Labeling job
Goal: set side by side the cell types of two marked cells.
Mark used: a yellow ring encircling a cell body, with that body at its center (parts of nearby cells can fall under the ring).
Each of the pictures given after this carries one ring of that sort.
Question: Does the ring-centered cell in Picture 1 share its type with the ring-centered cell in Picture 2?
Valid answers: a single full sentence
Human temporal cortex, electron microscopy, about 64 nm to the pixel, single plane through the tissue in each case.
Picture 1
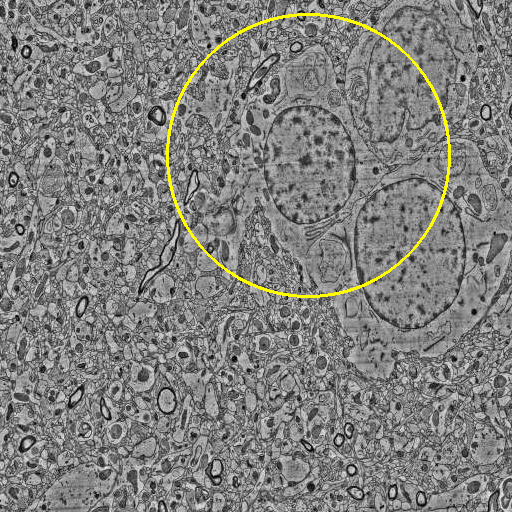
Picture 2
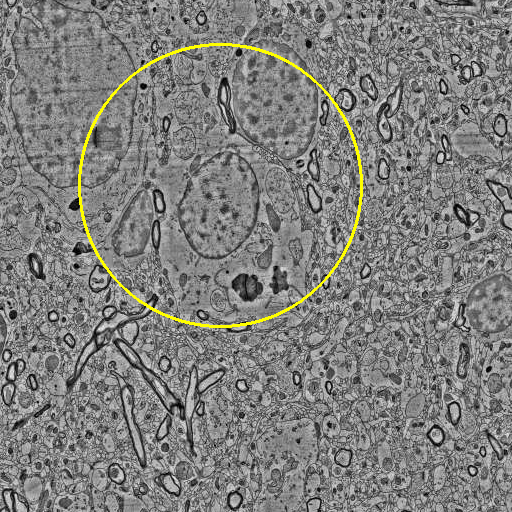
Yes, in Pictures 1 and 2 the cells at the ring centers share one type.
